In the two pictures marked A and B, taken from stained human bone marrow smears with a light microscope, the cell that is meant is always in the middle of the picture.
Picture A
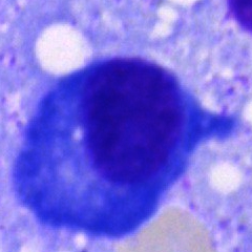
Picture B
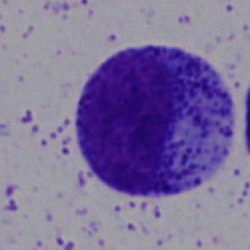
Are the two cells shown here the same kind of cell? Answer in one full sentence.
No, picture A shows a plasma cell and picture B shows a promyelocyte.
